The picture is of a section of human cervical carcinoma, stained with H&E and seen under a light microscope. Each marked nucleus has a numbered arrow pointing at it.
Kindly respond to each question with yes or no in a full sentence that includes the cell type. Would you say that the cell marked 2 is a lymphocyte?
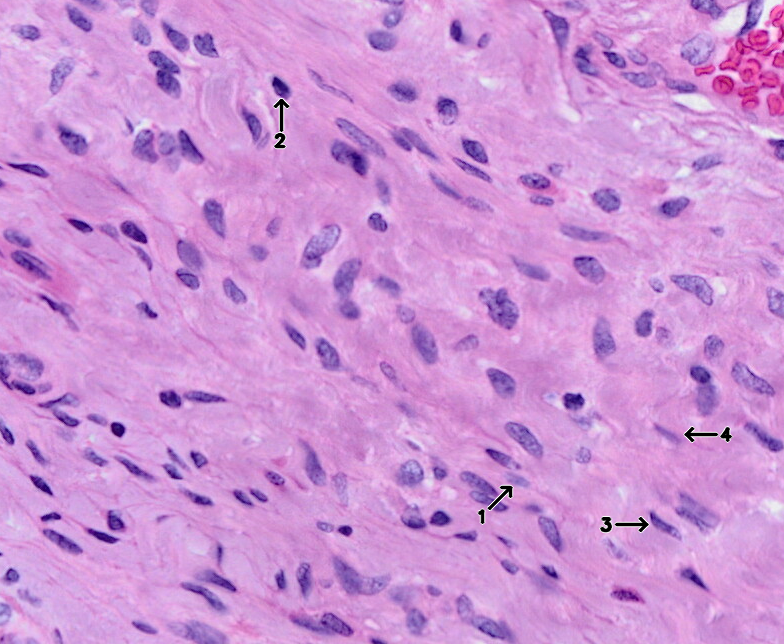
Yes, regarding cell number 2, it is a lymphocyte.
